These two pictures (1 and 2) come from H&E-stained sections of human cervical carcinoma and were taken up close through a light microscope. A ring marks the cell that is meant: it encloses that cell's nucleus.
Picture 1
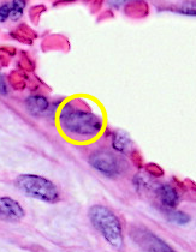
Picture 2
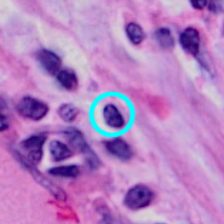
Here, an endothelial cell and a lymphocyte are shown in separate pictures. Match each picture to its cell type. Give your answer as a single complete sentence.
Picture 1 is of an endothelial cell, and picture 2 is of a lymphocyte.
